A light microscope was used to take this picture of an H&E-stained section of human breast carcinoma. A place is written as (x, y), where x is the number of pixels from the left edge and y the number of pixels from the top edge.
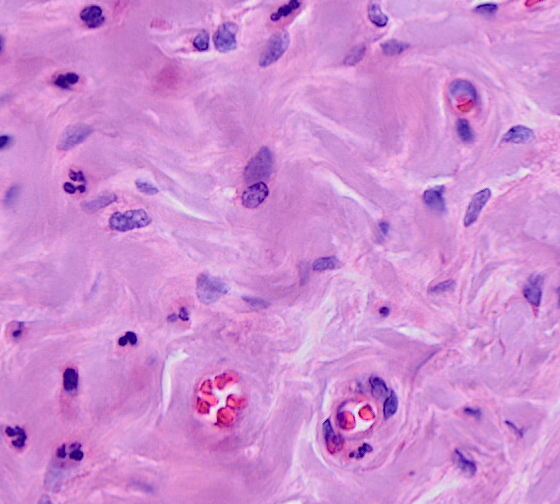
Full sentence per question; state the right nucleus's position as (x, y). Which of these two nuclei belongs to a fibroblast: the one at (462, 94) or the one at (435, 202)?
The nucleus at (435, 202) is attributed to a fibroblast, unlike the other nucleus.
